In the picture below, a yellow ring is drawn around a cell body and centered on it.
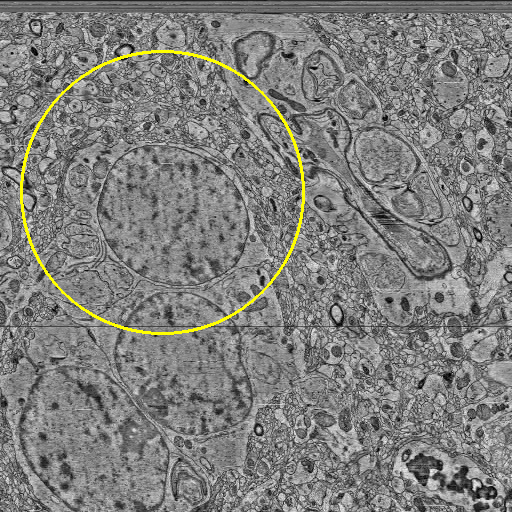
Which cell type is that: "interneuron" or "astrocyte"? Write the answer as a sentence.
The cell centered in the ring is an astrocyte.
